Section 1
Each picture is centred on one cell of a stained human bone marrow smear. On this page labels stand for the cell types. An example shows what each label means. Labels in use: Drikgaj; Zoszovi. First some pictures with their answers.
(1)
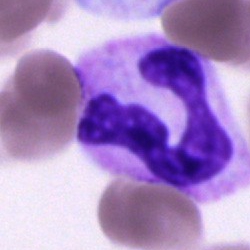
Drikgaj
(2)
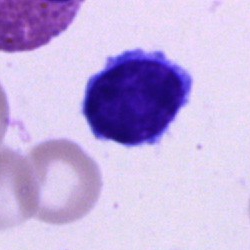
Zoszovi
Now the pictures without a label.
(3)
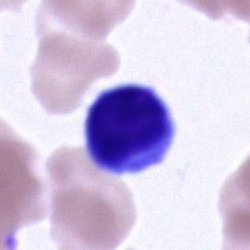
Zoszovi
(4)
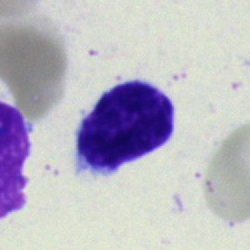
Zoszovi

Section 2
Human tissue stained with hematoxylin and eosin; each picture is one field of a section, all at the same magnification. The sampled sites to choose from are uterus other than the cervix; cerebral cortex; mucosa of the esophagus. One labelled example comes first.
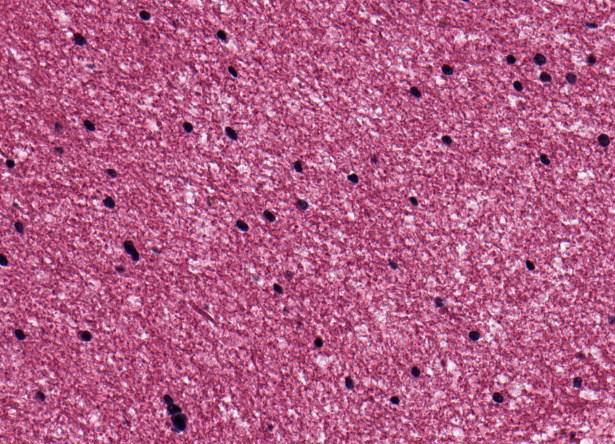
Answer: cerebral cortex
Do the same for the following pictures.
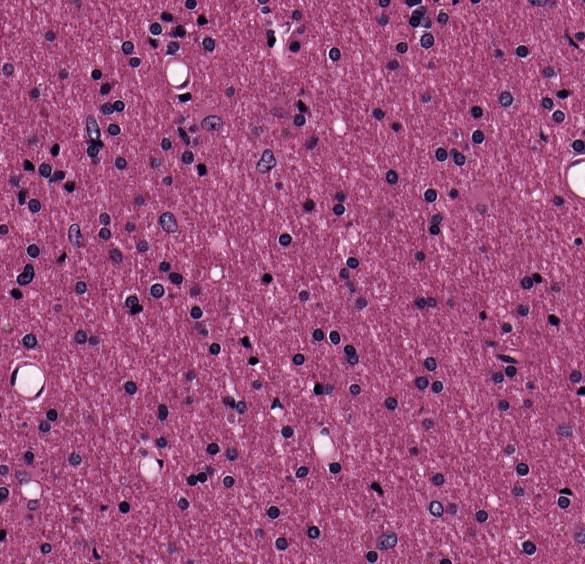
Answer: cerebral cortex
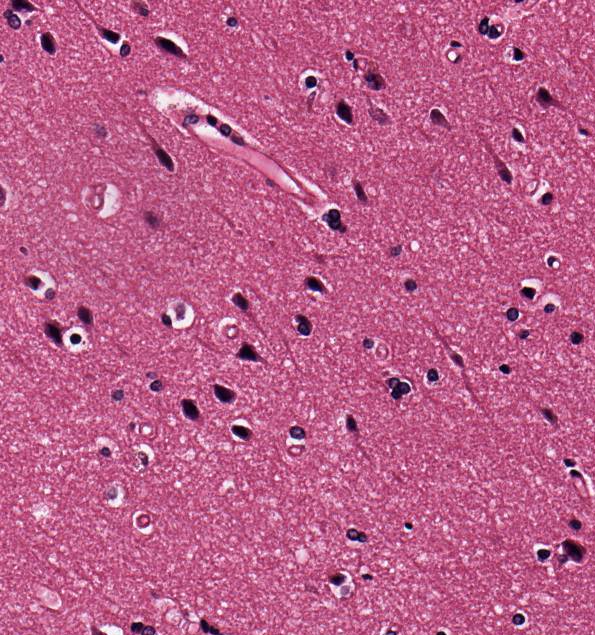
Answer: cerebral cortex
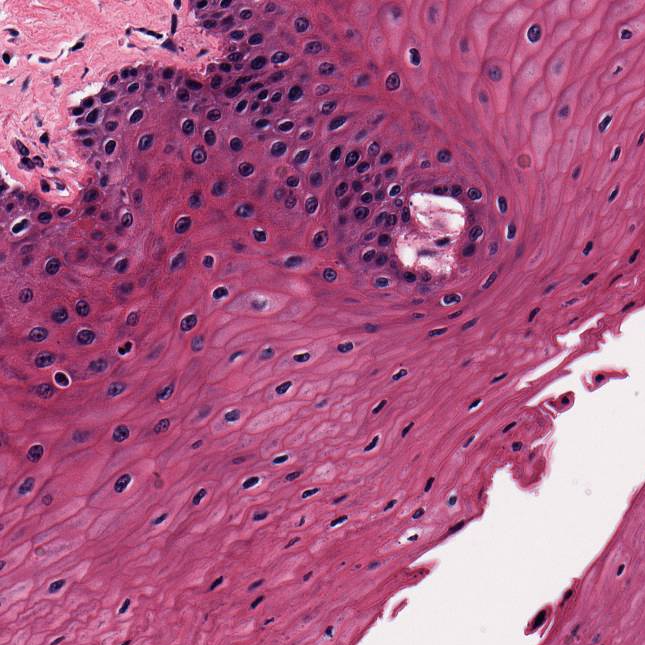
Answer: mucosa of the esophagus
